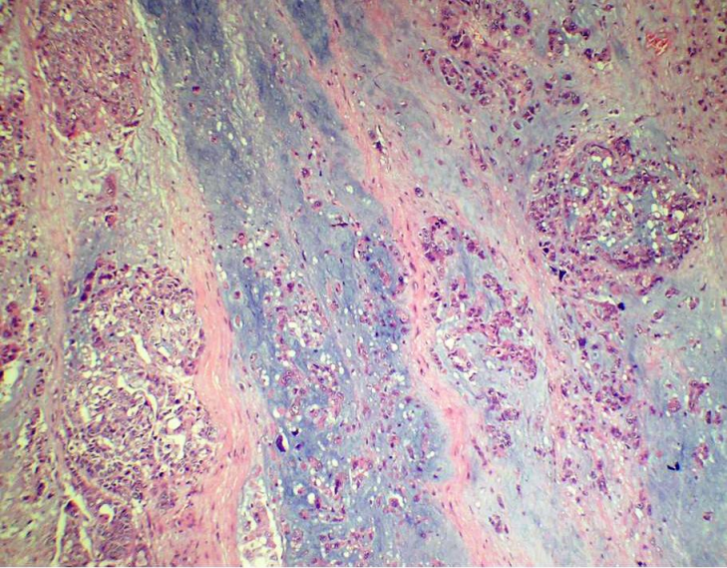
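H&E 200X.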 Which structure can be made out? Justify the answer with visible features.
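Broad pale blue-grey bands of loose extracellular matrix run diagonally through the field. Scattered cells lie in small clear spaces within the blue-grey matrix. Pink fibrous bands separate the matrix from cell-rich nests. The answer: chondromyxoid matrix.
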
